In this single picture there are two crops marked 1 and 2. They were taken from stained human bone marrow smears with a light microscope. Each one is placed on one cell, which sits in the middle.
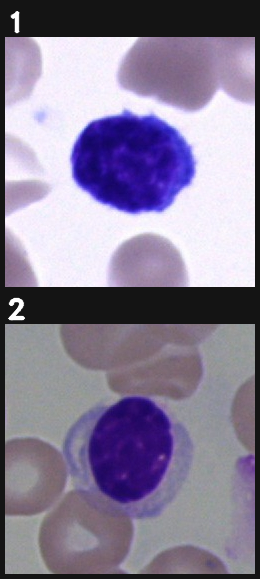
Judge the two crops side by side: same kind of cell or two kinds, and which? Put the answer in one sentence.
No, the middle of crop 1 shows a blast, and the middle of crop 2 shows a lymphocyte.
